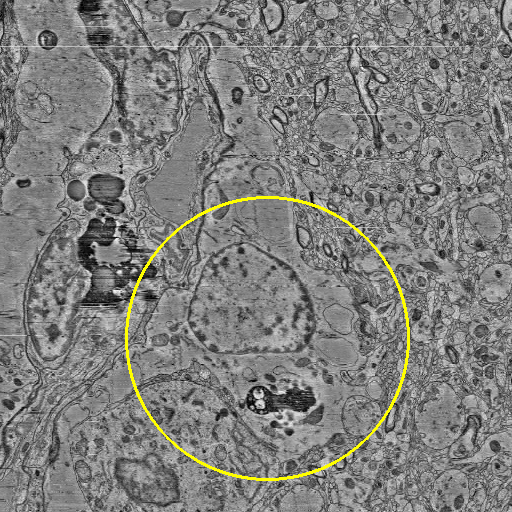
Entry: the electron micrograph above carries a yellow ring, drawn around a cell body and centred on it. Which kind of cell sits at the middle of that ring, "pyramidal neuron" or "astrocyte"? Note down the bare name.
astrocyte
